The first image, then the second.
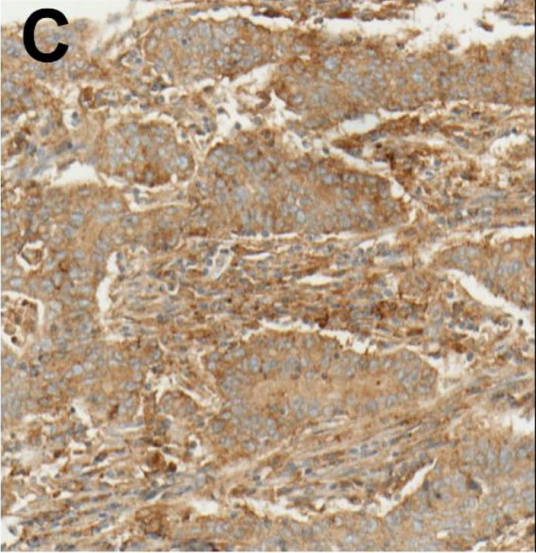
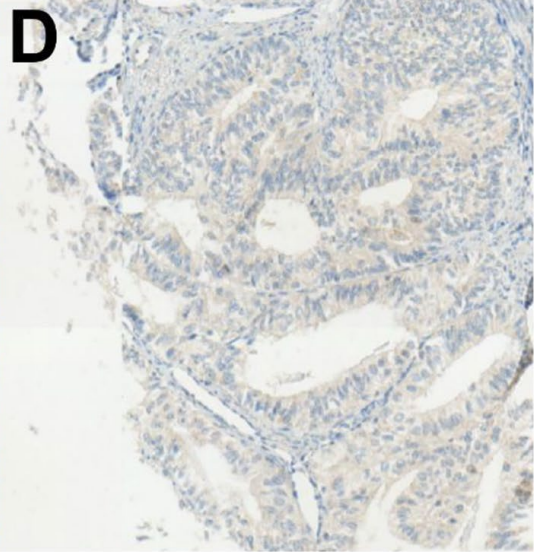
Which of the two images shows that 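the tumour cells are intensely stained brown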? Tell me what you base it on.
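The first image. Second image: glandular tumour cells show blue nuclei with at most faint pale tan background. First image: nests of tumour cells are diffusely and strongly brown.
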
